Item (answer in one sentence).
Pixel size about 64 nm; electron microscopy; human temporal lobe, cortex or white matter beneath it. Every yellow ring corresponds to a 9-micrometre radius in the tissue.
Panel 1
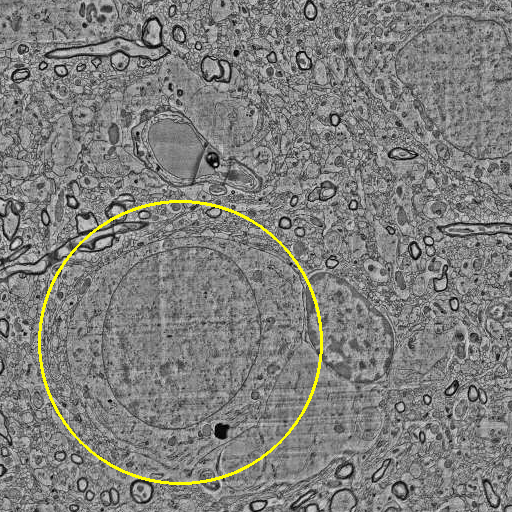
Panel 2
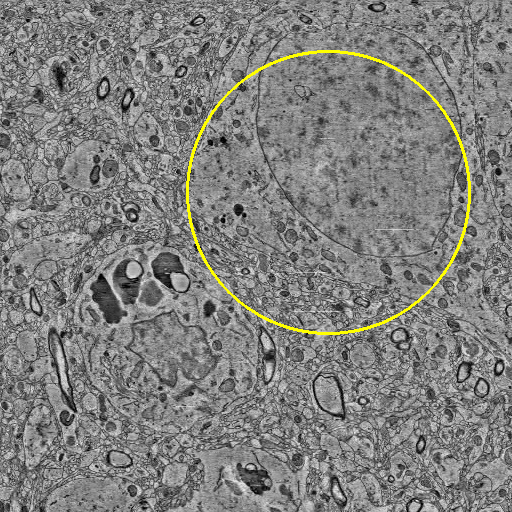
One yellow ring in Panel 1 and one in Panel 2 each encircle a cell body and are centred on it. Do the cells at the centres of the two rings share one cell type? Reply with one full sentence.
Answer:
Yes, Panel 1 and Panel 2 show cells of one type at the centres of their rings.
